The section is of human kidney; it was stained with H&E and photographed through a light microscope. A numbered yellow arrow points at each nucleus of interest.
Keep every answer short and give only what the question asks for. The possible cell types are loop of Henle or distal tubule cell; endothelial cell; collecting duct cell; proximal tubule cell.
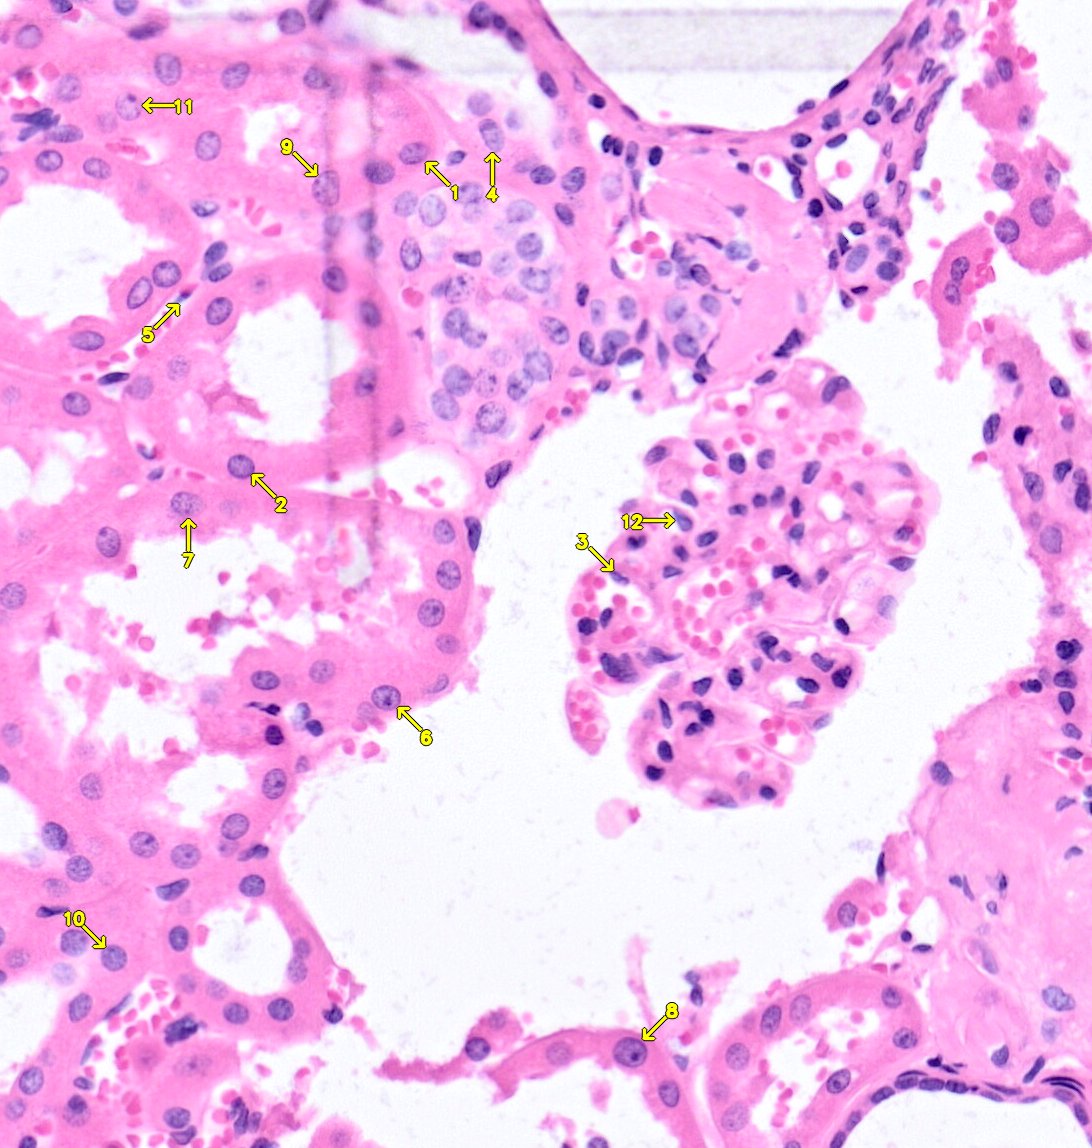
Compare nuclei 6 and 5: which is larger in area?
6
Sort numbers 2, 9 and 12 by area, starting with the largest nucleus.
9, 2, 12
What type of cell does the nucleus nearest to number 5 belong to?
proximal tubule cell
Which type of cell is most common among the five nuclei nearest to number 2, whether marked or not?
proximal tubule cell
